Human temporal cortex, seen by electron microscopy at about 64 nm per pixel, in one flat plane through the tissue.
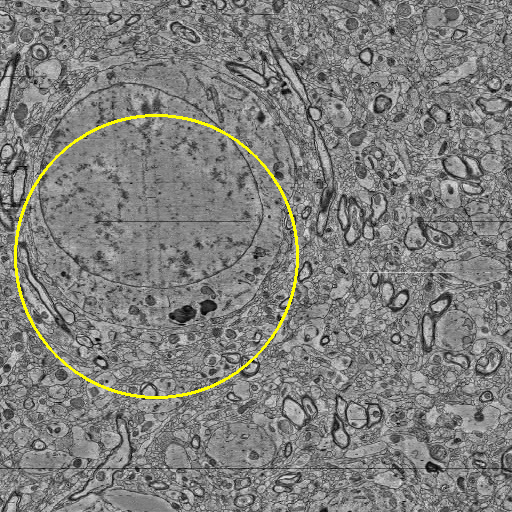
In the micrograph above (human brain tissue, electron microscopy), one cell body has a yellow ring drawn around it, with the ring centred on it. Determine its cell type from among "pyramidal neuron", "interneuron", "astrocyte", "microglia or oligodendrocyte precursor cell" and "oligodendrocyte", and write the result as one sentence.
The cell whose body is ringed is a pyramidal neuron.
